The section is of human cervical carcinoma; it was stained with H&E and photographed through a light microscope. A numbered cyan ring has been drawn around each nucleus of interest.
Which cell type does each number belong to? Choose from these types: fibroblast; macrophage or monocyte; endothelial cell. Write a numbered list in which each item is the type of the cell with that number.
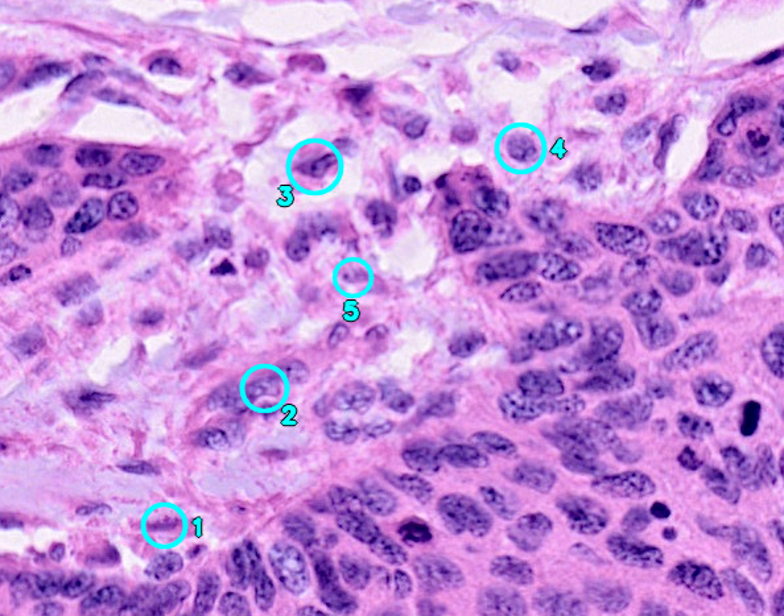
1. fibroblast
2. endothelial cell
3. macrophage or monocyte
4. macrophage or monocyte
5. fibroblast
